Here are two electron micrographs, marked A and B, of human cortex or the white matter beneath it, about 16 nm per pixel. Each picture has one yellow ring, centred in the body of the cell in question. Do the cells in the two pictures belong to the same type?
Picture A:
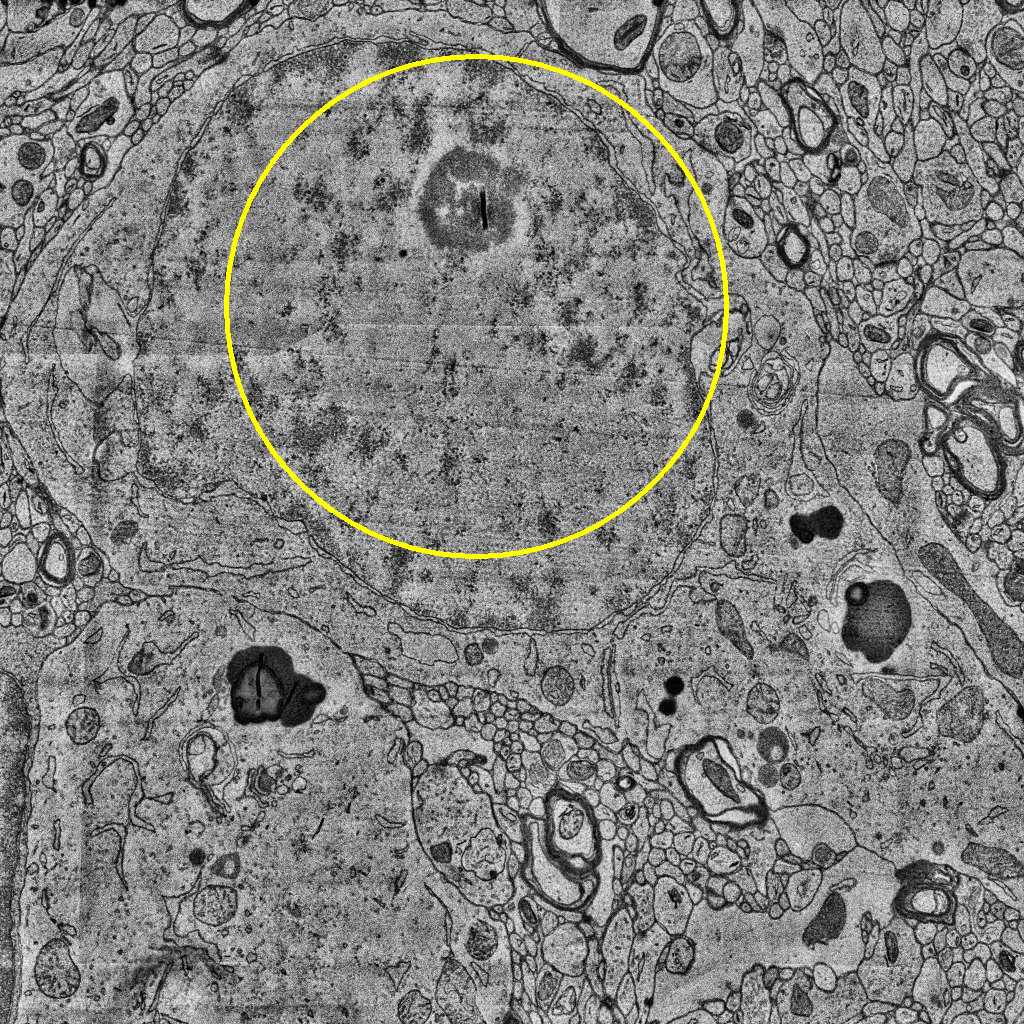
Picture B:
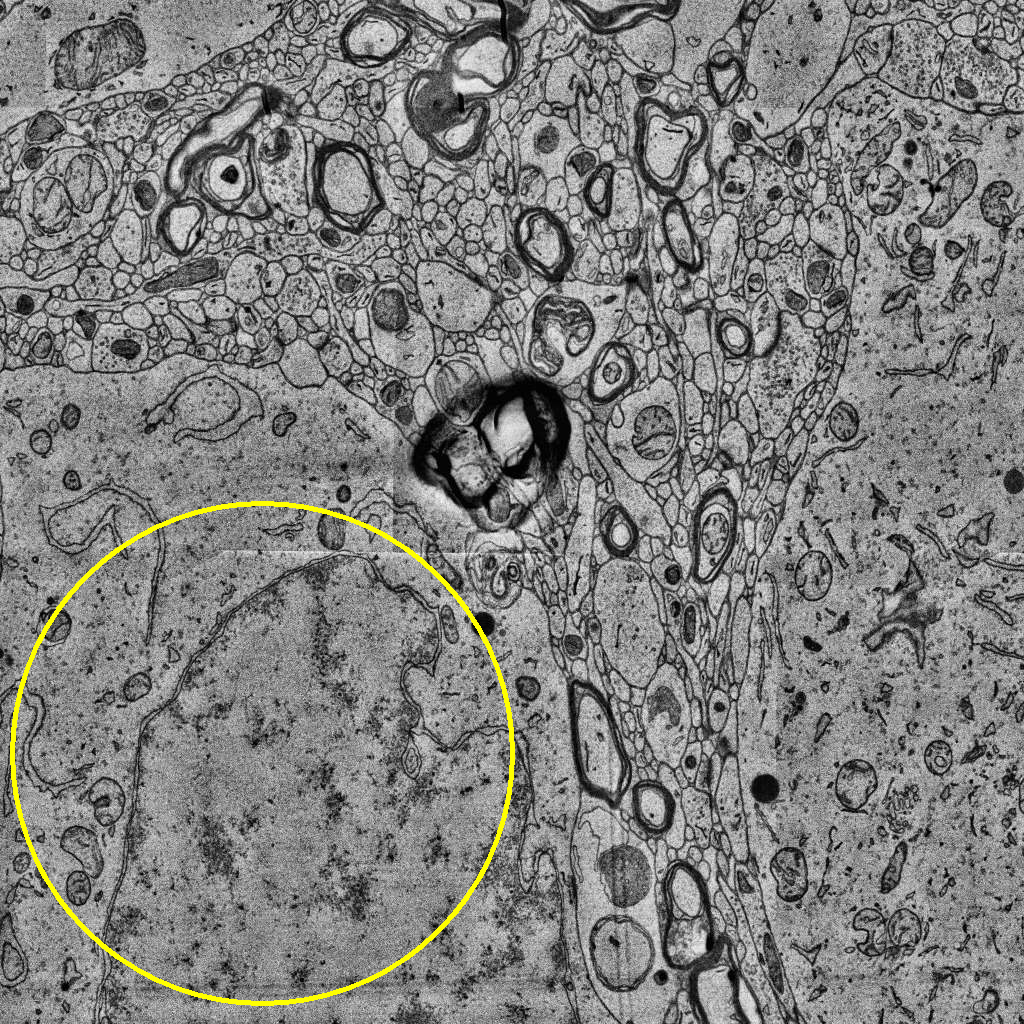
Yes, the two pictures both show interneurons.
